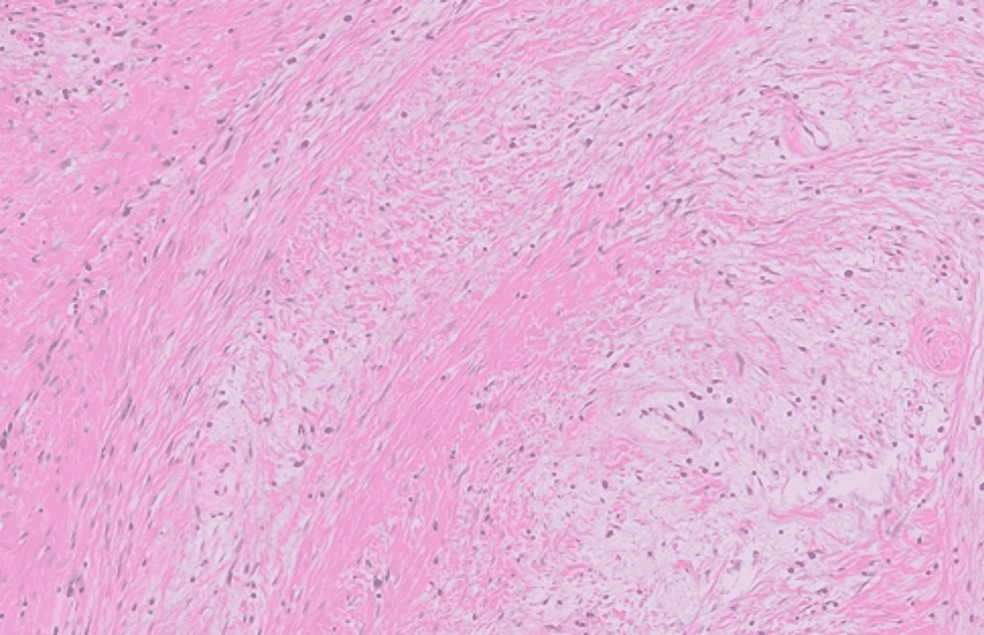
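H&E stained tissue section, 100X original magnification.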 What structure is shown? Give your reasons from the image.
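Myxoid material. The looser areas at lower right have a pale, washed-out, wispy background. Cells in these areas are sparse and widely spaced.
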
